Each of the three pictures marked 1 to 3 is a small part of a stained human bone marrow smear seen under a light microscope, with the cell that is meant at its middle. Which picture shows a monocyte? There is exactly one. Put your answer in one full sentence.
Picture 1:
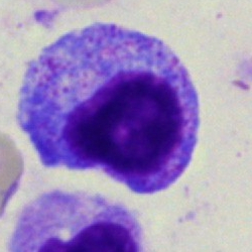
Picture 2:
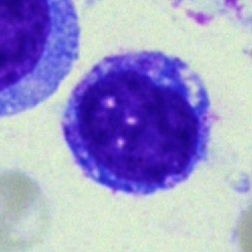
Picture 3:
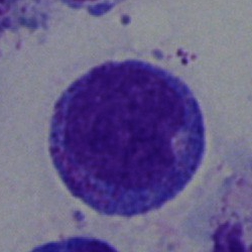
Picture 2 shows the monocyte.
